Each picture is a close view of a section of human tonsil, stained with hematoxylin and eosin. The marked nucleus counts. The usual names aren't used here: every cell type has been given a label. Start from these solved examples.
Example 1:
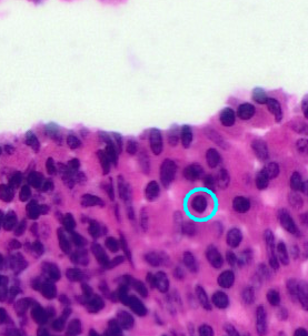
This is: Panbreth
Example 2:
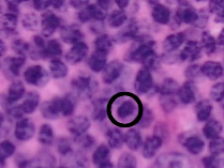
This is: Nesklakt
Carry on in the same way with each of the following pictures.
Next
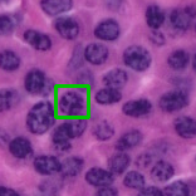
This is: Panbreth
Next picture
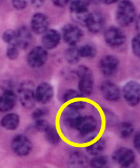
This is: Panbreth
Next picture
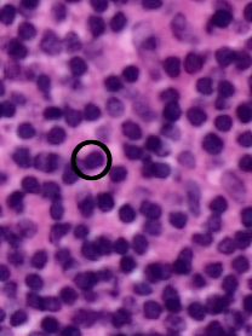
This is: Nesklakt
